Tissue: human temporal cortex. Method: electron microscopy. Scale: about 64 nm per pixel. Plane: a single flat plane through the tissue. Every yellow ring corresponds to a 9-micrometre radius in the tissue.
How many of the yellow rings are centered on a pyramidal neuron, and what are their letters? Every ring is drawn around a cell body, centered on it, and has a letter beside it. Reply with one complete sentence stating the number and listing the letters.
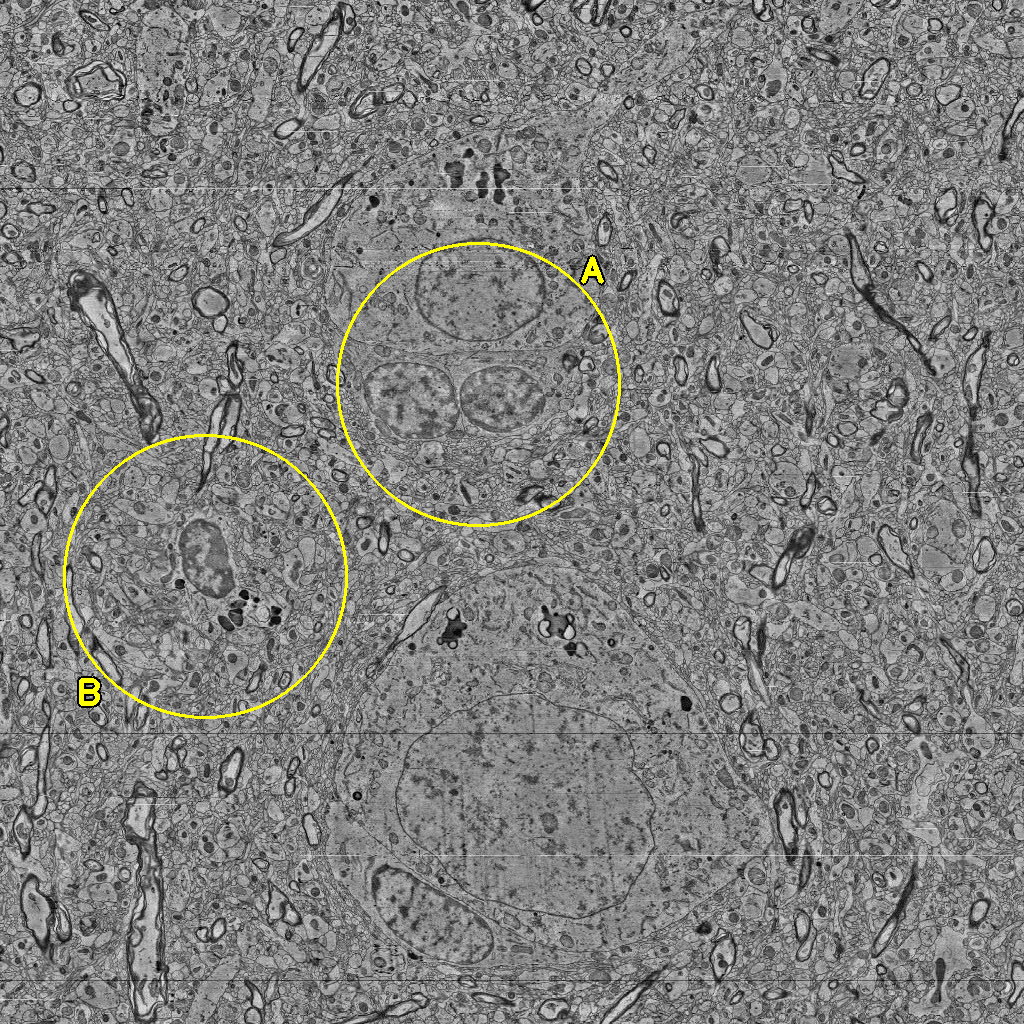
Looking across all the lettered rings, none is centred on a pyramidal neuron, so the count is zero.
